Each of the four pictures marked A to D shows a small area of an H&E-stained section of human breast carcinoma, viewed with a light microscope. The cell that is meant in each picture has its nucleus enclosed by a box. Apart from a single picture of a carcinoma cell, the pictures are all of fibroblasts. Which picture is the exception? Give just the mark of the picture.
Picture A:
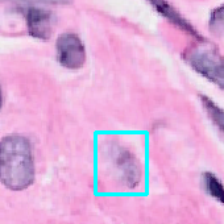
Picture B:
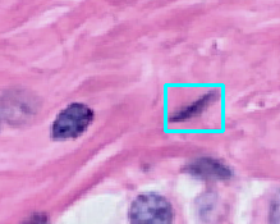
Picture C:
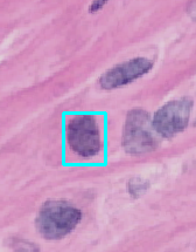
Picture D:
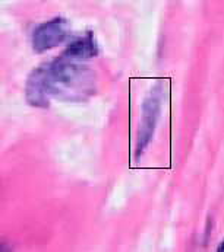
C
